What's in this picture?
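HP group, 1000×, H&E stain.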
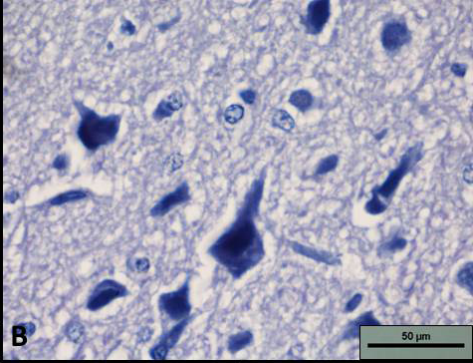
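Nervous tissue with neurons lying in a pale bluish, finely meshed neuropil. The neurons are angular and stain deep blue throughout, some drawn out into a short tapering process. Smaller round, paler nuclei of other cells are scattered between them.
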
